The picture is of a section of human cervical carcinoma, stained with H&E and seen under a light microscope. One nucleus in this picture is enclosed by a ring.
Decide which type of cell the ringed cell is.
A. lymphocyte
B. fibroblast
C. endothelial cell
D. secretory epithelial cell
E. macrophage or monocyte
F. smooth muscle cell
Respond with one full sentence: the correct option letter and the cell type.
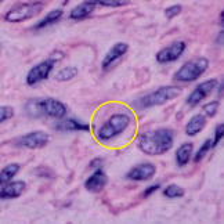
Option F, which has the ringed cell as a smooth muscle cell, is the correct choice.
